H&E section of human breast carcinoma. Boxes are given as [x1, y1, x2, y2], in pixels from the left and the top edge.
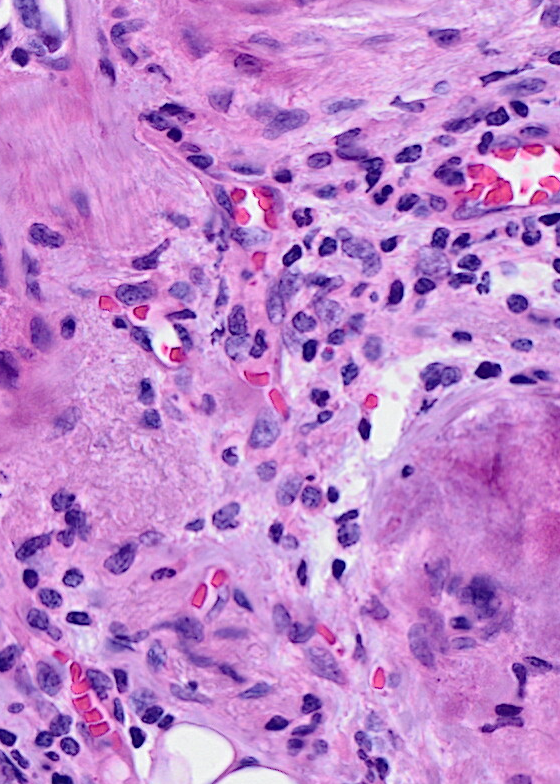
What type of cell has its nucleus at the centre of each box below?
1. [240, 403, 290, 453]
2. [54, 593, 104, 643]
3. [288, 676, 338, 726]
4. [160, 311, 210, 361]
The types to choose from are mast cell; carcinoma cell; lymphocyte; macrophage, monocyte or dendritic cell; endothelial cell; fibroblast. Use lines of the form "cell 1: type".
cell 1: endothelial cell
cell 2: lymphocyte
cell 3: lymphocyte
cell 4: endothelial cell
